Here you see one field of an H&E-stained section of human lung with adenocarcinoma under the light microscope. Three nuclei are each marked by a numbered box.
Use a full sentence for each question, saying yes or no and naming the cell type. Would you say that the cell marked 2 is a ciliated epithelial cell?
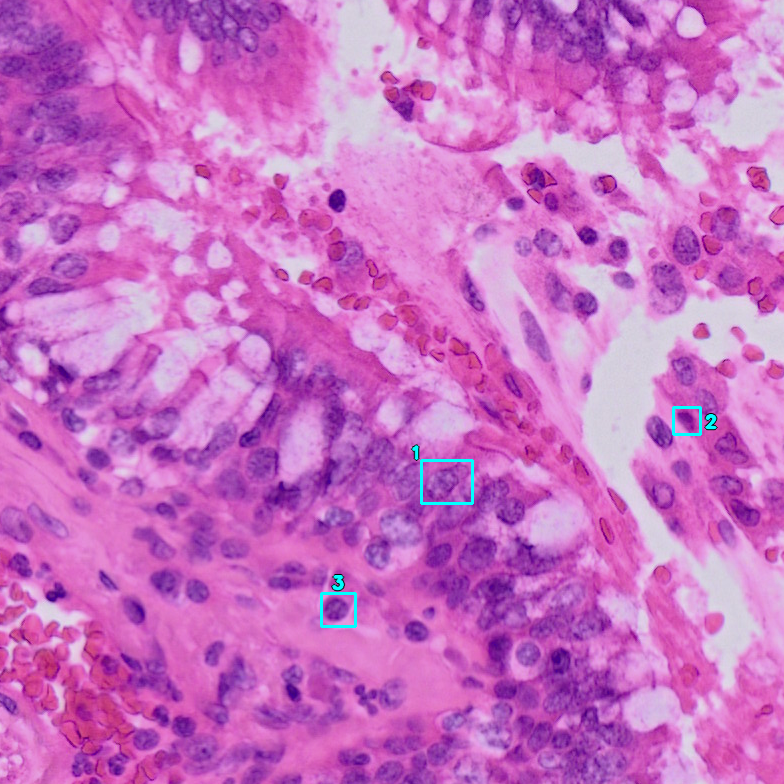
No, number 2 does not mark a ciliated epithelial cell; it marks a macrophage or monocyte.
